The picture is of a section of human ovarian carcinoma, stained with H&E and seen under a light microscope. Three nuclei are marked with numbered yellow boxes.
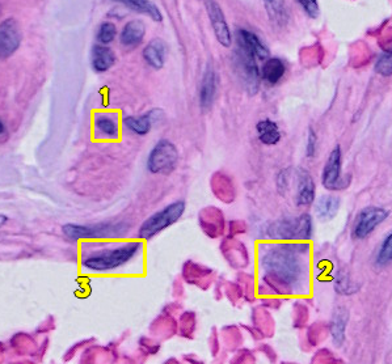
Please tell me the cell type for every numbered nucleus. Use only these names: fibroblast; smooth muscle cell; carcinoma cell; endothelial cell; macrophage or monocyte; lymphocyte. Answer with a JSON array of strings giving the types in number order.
["smooth muscle cell", "endothelial cell", "endothelial cell"]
